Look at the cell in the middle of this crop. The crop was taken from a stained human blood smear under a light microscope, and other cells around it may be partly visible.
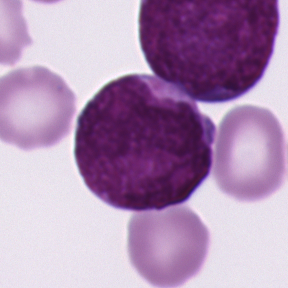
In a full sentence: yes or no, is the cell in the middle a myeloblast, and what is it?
Yes, the centre of the crop holds a myeloblast.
